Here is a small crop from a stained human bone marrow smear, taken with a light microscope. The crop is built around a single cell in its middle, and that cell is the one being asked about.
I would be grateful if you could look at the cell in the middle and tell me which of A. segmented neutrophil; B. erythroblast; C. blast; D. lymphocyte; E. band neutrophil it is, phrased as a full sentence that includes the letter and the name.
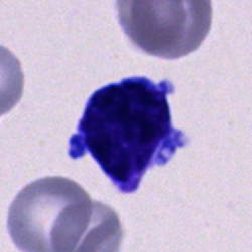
That middle cell is a blast, and option C is therefore correct.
